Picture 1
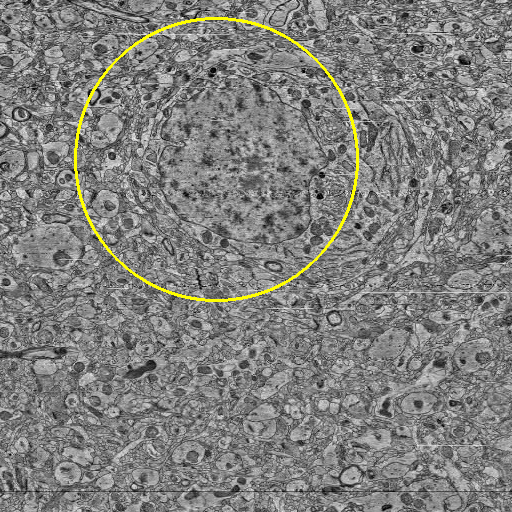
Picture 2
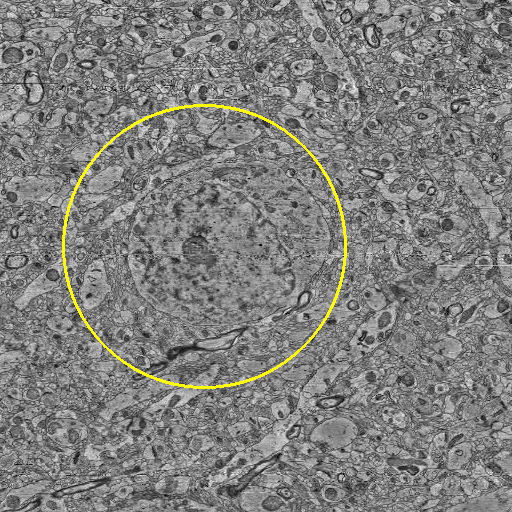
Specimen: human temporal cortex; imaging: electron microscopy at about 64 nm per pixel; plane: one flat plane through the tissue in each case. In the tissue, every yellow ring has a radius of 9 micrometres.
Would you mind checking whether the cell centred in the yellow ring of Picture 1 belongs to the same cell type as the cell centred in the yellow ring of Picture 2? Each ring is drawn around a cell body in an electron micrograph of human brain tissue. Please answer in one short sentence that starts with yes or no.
Yes, both cells are of the same type.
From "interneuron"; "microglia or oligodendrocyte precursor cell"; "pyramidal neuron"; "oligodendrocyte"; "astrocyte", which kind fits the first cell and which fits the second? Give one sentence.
The cell in the first picture is an interneuron, and so is the one in the second.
